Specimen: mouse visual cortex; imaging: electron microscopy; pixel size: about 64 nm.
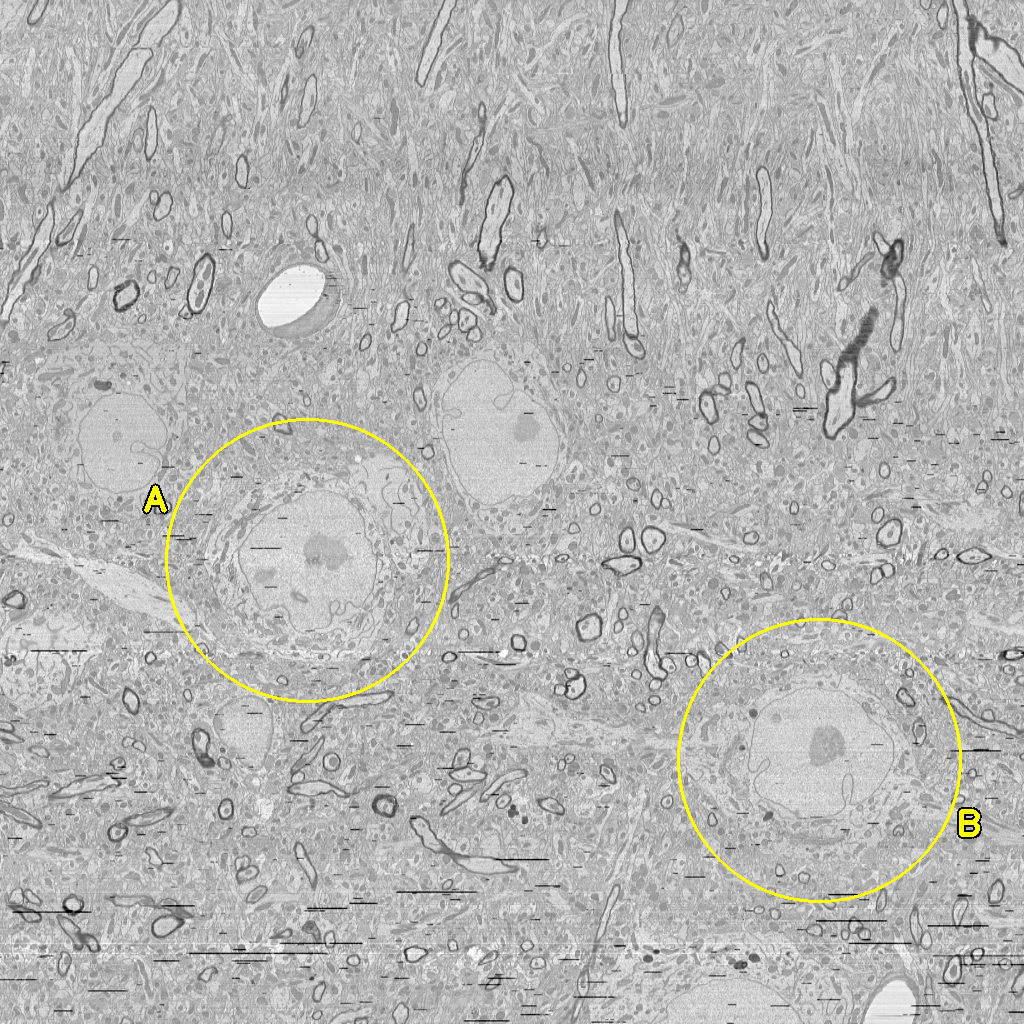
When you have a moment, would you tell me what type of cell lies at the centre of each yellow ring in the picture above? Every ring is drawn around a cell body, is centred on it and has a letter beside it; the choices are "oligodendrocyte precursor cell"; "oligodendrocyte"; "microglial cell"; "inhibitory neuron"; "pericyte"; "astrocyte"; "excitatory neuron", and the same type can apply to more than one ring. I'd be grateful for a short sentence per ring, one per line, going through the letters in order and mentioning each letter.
The cell at the centre of ring A is an inhibitory neuron.
The cell at the centre of ring B is an excitatory neuron.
